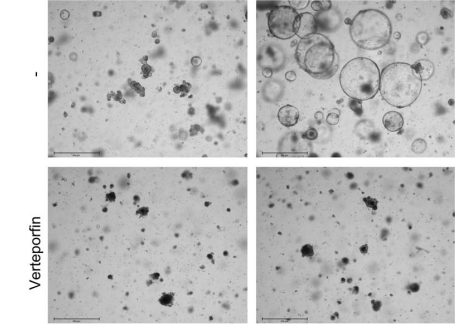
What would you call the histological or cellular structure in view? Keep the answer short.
Organoids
